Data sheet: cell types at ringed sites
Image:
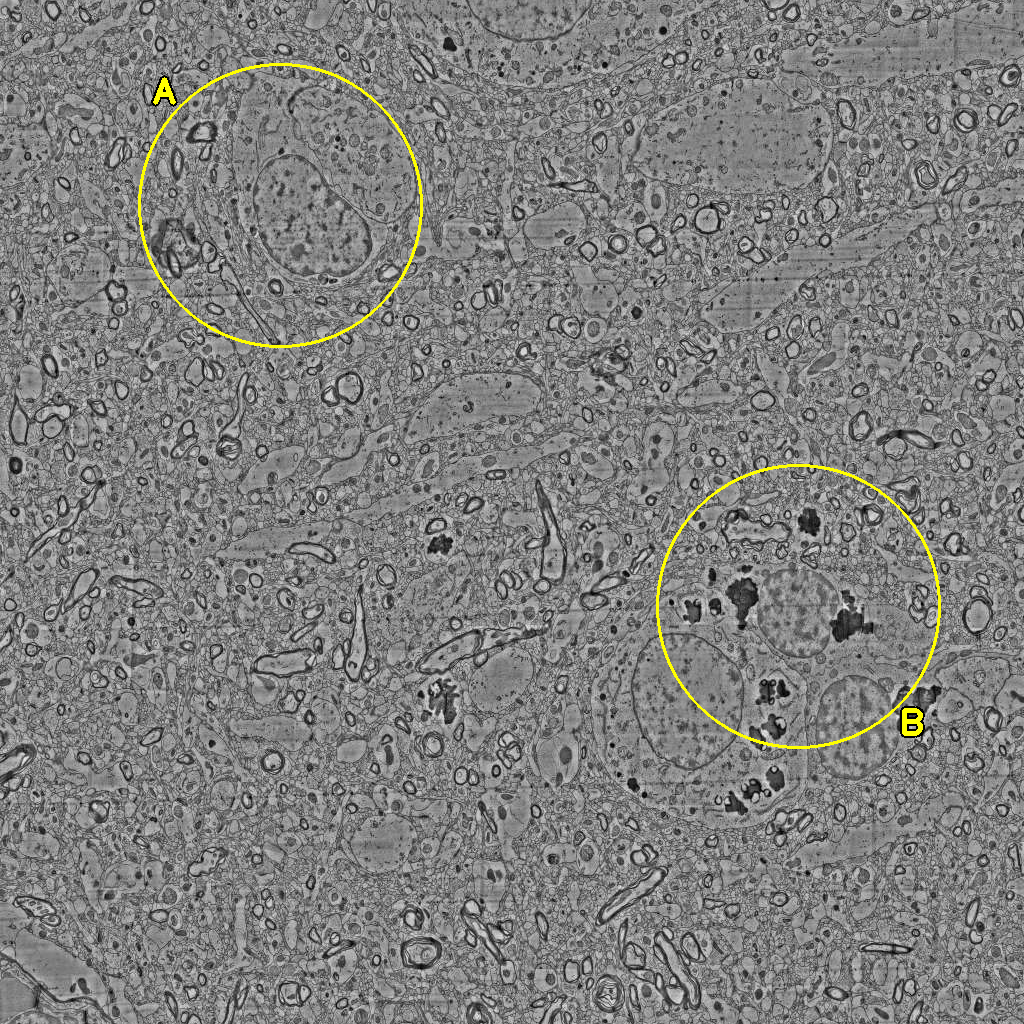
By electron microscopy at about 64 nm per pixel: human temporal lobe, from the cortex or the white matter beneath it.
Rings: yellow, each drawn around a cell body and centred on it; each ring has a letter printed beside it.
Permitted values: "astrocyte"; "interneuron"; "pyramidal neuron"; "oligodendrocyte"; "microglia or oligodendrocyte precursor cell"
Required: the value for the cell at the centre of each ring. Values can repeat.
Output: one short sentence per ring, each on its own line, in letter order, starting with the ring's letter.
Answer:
Ring A has a microglial cell or oligodendrocyte precursor cell at its centre.
Ring B has an oligodendrocyte at its centre.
